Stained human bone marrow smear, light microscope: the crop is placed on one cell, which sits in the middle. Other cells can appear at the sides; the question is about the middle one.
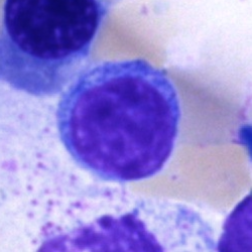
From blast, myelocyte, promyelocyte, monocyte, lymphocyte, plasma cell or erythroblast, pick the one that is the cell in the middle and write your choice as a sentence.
The single cell at the center of the crop is a lymphocyte.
